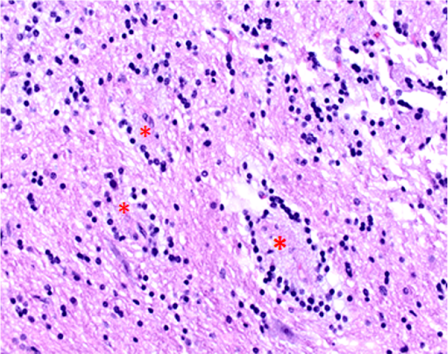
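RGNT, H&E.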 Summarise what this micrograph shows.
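Tumor of neurocytic cells with small, uniform, round, darkly stained nuclei and scant cytoplasm at moderate density. The cells form rings nearly surrounding pale pink, fibrillary neuropil cores that hold few nuclei.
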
